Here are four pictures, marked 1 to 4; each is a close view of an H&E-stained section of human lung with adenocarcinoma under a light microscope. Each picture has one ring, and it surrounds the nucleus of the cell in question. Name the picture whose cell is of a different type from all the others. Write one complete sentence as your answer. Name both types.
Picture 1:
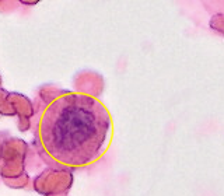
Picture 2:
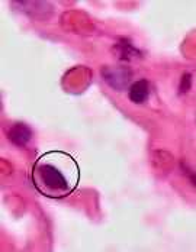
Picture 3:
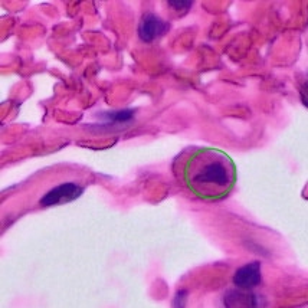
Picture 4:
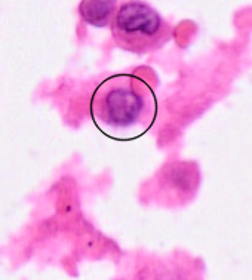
Picture 2 is the odd one out: it shows a type I pneumocyte, while the others show “macrophages or monocytes”.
